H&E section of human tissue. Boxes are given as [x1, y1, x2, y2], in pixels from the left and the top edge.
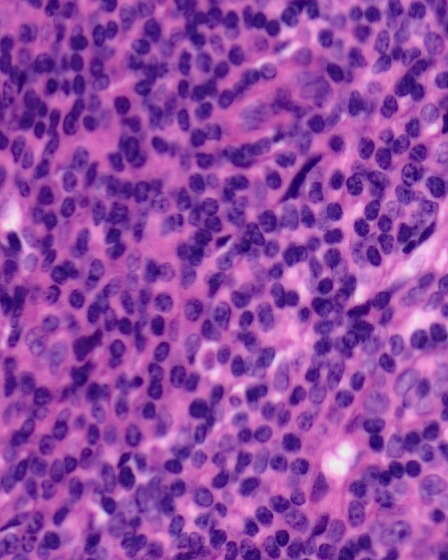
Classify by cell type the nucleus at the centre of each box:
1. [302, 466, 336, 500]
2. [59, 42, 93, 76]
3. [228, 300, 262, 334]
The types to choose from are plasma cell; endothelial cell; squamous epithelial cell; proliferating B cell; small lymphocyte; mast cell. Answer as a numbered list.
1. endothelial cell
2. small lymphocyte
3. small lymphocyte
